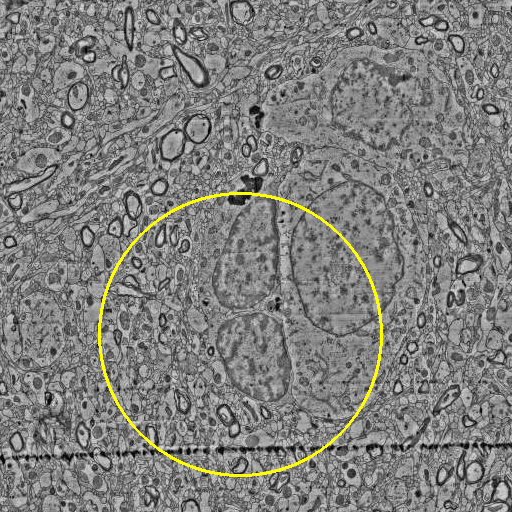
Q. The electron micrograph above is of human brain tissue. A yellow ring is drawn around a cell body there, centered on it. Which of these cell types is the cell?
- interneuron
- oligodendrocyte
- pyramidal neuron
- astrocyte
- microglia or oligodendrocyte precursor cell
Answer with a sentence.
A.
The cell under the ring's center is an oligodendrocyte.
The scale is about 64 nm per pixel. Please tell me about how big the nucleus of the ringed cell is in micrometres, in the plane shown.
In this plane the nucleus measures roughly 6 by 4 micrometres.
